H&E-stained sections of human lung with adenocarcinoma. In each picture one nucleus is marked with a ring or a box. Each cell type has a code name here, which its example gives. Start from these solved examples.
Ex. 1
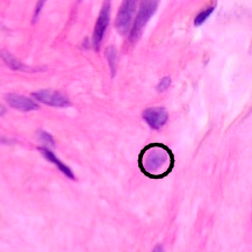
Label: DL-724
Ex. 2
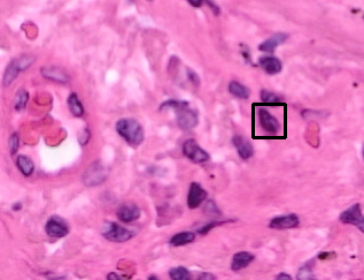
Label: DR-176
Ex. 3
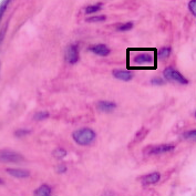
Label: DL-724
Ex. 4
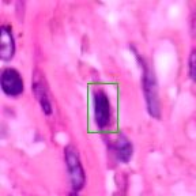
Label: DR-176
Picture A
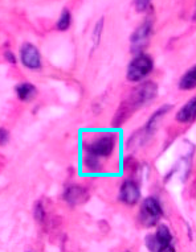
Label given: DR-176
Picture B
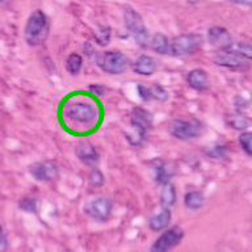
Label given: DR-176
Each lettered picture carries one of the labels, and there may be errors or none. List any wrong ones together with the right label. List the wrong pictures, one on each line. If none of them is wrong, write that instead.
B should be DL-724, not DR-176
